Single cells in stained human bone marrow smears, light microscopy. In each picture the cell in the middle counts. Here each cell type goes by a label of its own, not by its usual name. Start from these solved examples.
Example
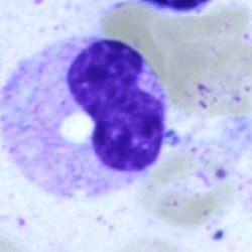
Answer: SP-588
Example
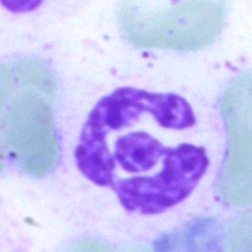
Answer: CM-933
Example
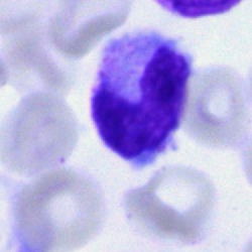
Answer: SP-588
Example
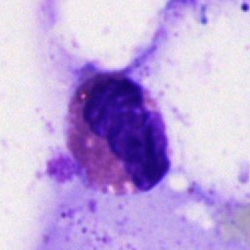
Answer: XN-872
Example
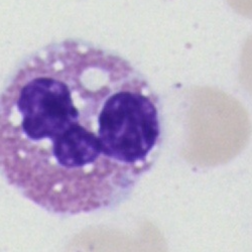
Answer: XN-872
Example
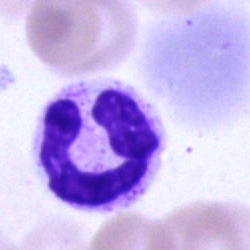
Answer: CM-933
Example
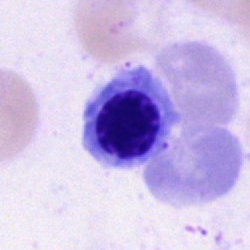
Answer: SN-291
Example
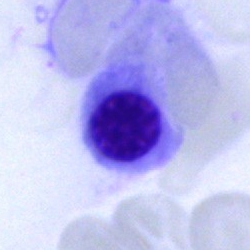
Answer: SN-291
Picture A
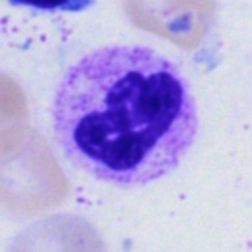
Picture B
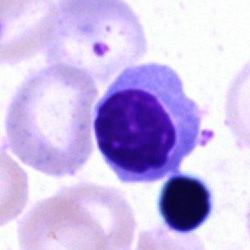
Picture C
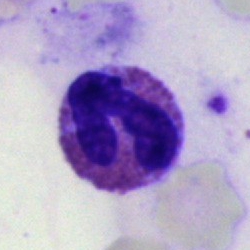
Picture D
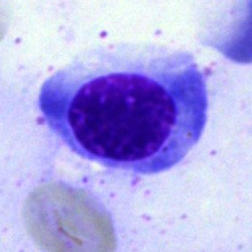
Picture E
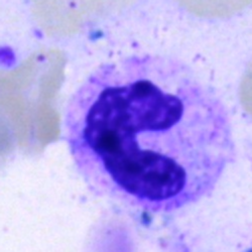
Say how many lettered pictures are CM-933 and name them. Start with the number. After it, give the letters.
1, namely A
